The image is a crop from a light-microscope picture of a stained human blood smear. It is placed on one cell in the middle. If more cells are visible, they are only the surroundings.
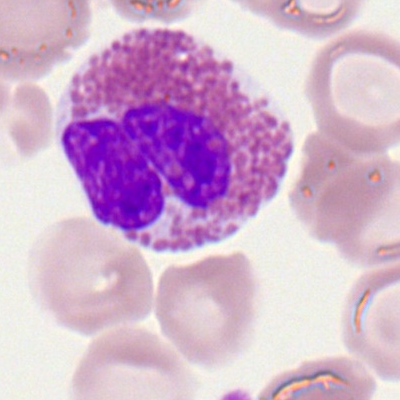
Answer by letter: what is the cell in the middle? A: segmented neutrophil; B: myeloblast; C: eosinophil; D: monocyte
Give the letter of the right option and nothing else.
C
